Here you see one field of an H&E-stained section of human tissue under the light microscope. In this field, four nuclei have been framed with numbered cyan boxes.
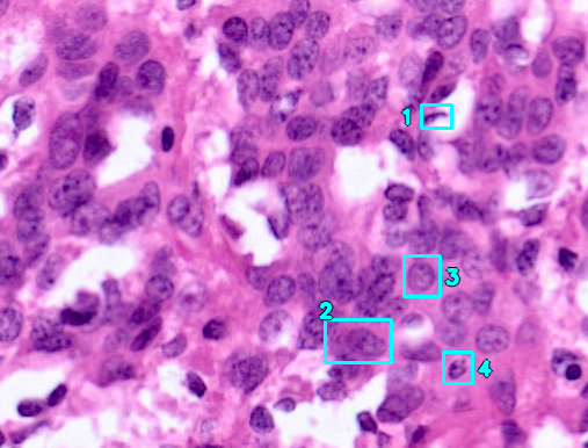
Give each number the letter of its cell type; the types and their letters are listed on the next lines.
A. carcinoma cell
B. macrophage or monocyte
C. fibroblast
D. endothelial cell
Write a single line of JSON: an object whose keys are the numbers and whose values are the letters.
{"1": "A", "2": "A", "3": "A", "4": "B"}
